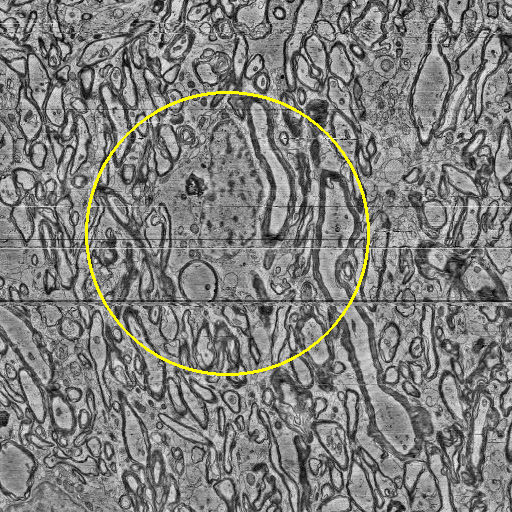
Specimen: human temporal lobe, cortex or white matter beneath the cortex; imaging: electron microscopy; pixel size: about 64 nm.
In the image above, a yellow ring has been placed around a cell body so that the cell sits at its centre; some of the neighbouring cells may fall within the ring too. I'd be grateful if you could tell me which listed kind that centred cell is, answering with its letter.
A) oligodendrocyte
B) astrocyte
B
